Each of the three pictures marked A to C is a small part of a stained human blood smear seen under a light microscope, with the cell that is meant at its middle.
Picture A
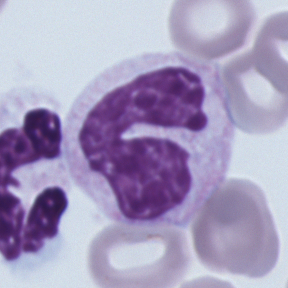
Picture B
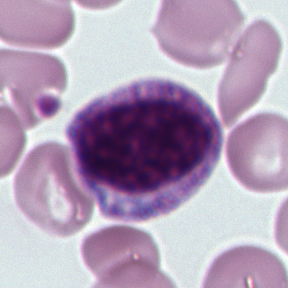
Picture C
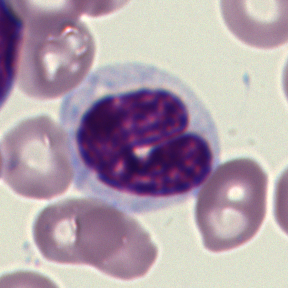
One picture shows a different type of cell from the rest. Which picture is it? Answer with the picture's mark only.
B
